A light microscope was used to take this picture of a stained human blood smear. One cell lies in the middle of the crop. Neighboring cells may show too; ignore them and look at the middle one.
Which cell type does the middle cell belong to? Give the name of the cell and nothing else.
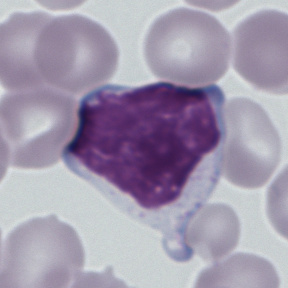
large granular lymphocyte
